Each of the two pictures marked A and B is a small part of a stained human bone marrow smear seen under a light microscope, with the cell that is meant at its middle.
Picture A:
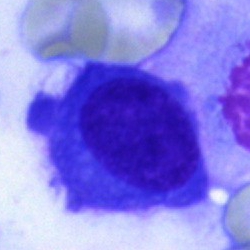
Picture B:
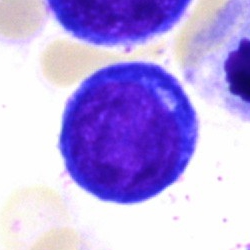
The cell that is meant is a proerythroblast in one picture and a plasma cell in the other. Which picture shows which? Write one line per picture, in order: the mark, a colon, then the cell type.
A: plasma cell
B: proerythroblast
